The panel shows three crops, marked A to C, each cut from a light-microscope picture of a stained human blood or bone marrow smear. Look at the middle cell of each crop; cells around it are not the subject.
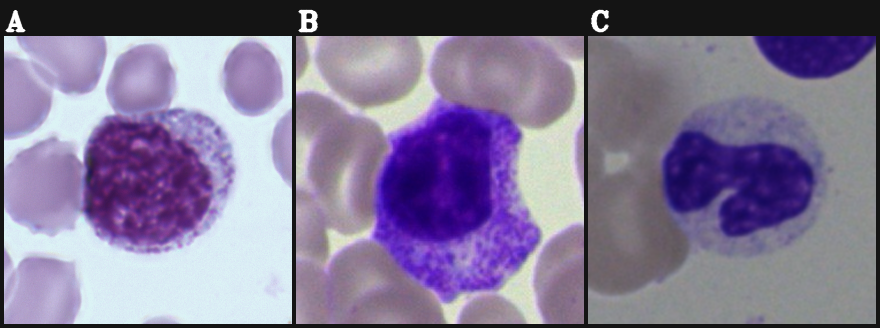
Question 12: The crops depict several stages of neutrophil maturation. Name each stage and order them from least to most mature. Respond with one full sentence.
From least to most mature, the cells come in the order crop B (a myelocyte), crop A (a metamyelocyte) and crop C (a band neutrophil).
